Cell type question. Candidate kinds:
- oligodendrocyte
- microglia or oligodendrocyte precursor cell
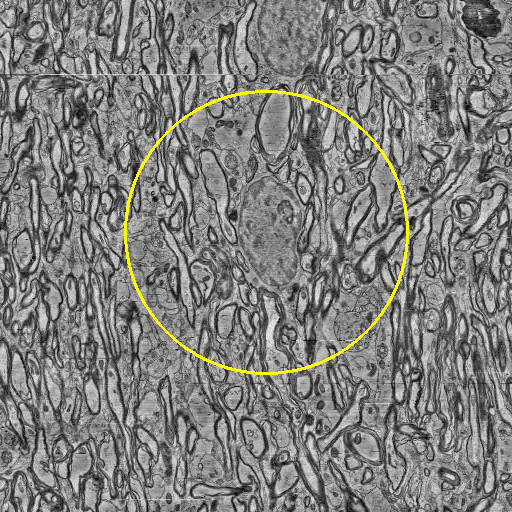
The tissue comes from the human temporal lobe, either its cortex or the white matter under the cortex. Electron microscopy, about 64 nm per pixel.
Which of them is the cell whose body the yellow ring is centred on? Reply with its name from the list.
oligodendrocyte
